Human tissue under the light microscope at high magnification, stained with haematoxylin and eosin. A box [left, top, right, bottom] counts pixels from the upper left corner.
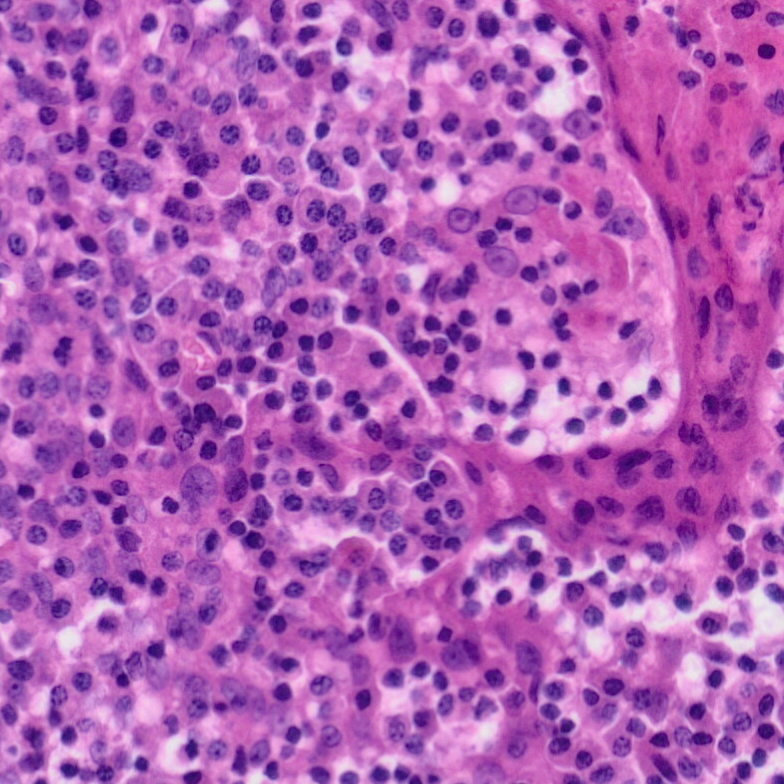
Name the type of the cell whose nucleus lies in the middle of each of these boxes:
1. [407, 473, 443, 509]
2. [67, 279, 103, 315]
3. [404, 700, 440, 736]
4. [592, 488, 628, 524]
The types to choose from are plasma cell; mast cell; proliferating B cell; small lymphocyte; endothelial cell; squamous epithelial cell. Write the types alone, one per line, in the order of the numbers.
plasma cell
plasma cell
plasma cell
squamous epithelial cell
